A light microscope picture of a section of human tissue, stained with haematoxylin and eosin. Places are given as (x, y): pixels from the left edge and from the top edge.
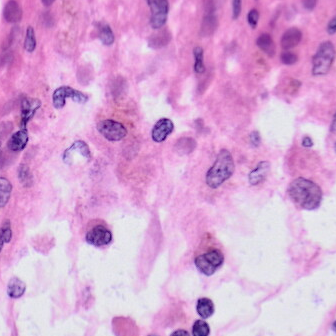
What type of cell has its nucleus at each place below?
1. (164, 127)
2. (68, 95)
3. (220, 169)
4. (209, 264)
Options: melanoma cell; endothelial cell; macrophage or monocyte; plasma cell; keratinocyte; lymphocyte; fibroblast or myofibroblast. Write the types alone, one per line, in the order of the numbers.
lymphocyte
macrophage or monocyte
macrophage or monocyte
macrophage or monocyte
